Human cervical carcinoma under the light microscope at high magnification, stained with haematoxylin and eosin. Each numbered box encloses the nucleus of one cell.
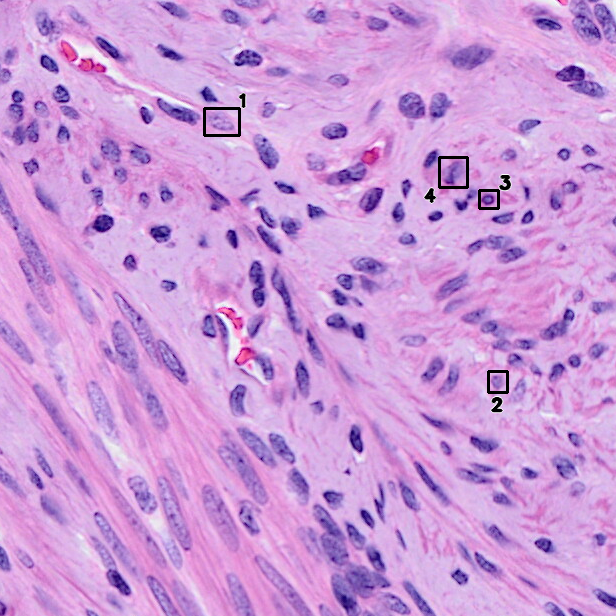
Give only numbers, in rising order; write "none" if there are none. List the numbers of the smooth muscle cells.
2, 3, 4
